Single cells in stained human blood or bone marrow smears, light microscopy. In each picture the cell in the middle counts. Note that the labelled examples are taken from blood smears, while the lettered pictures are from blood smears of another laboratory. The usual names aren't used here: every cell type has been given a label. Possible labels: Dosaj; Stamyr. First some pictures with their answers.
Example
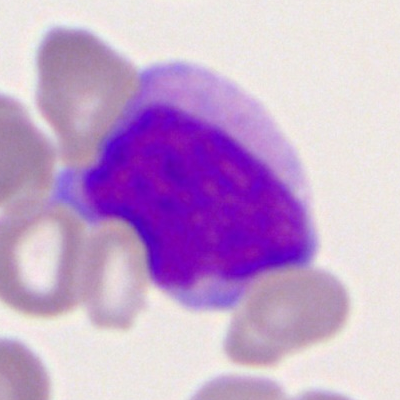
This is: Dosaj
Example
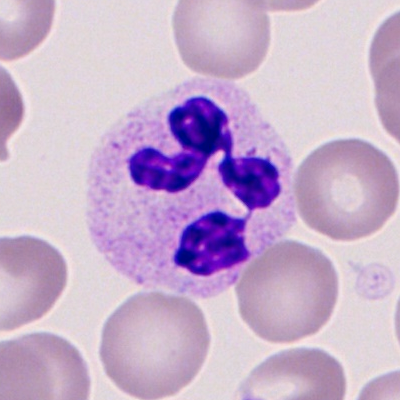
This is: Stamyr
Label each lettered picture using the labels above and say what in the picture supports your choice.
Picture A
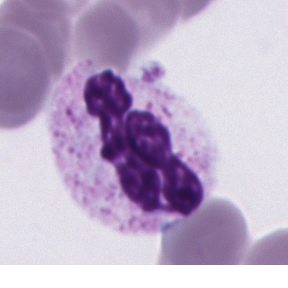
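Answer: Stamyr. The nucleus is divided into several lobes joined together.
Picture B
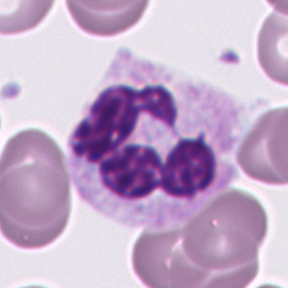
Answer: Stamyr. The cytoplasm is plentiful and pale pinkish-lilac.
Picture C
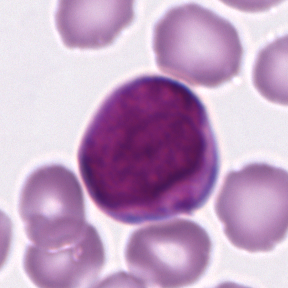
Answer: Dosaj. The cytoplasm is scant, forming only a thin rim.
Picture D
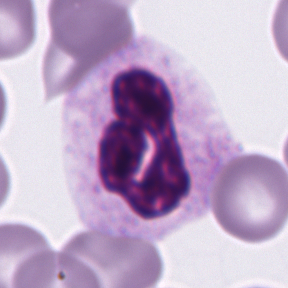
Answer: Stamyr. The cytoplasm is plentiful and pale pinkish-lilac.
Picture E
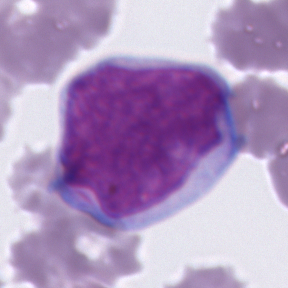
Answer: Dosaj. The cytoplasm forms a narrow rim that is widest along the lower edge of the cell.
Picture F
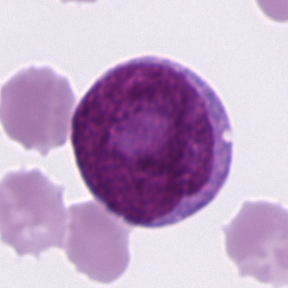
Answer: Dosaj. The cytoplasm forms a narrow crescent on the right side of the cell.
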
